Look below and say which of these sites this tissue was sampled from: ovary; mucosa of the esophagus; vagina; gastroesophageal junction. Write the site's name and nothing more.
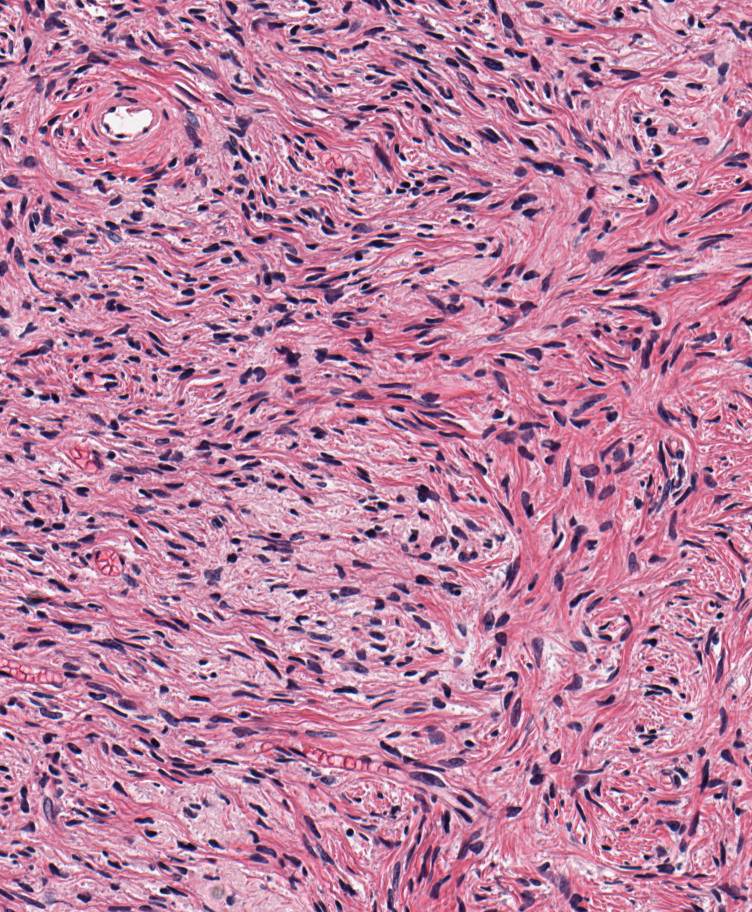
ovary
